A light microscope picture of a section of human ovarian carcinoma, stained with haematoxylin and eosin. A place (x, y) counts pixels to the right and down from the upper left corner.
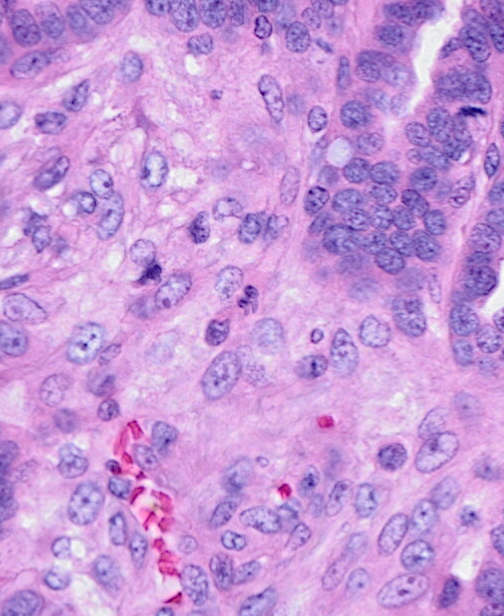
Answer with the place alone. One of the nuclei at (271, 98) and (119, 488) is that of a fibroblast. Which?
(271, 98)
